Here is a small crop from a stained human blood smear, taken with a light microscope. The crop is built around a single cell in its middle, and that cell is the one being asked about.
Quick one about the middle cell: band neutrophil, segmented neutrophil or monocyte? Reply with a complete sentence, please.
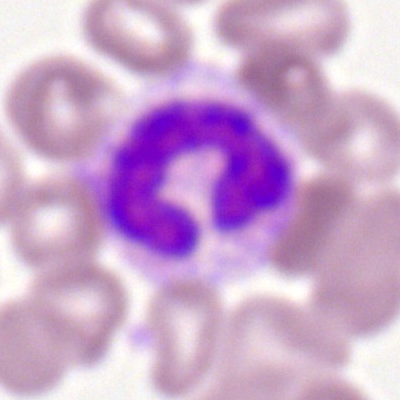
In this smear crop, the middle cell is a band neutrophil.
